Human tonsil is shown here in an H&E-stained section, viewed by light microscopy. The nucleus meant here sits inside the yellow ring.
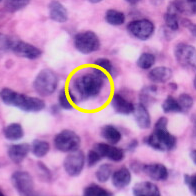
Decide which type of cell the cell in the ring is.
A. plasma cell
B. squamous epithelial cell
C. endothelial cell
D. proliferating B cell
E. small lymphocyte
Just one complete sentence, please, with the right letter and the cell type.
Option D correctly identifies the cell in the ring as a proliferating B cell.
